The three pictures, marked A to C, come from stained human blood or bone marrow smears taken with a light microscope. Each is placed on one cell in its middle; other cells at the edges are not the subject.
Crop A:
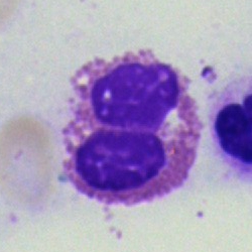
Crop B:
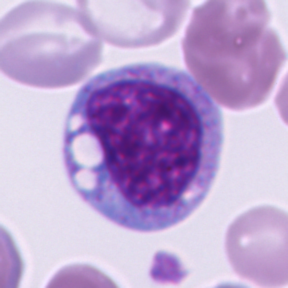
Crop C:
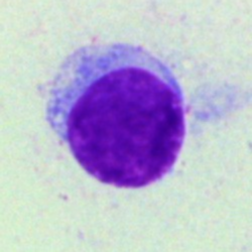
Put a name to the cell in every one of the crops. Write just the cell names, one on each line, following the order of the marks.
eosinophil
promyelocyte
hairy cell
